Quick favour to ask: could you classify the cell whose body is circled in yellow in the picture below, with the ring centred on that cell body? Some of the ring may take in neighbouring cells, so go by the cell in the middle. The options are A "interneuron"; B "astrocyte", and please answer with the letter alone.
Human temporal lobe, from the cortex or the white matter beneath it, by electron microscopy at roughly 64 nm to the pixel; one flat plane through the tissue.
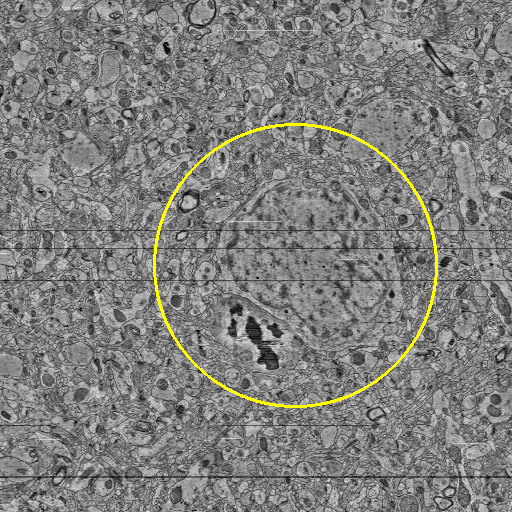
A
